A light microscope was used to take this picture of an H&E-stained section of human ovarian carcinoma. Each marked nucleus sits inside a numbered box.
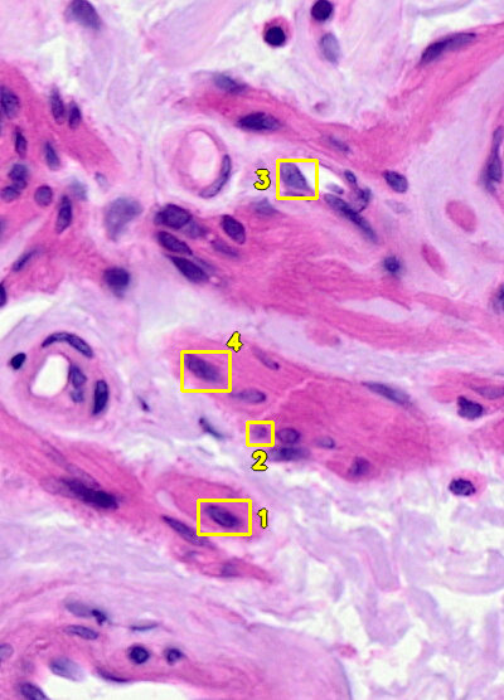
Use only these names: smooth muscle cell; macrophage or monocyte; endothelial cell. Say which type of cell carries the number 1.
smooth muscle cell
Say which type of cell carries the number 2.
smooth muscle cell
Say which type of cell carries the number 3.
endothelial cell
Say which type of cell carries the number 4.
smooth muscle cell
